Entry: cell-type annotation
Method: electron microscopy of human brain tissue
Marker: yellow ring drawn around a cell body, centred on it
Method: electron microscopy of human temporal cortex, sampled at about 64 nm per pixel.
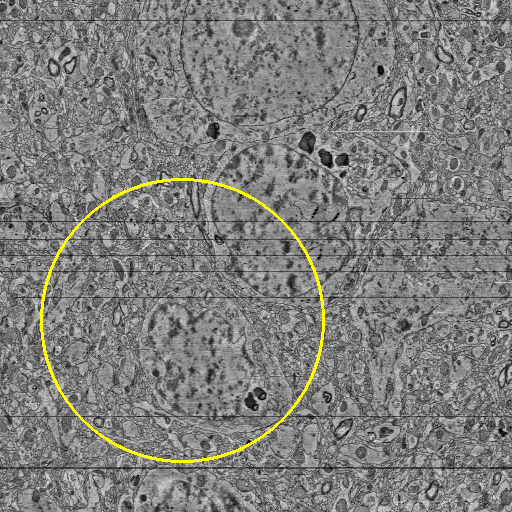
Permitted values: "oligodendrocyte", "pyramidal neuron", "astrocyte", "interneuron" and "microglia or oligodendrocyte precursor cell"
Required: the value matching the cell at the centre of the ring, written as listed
interneuron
